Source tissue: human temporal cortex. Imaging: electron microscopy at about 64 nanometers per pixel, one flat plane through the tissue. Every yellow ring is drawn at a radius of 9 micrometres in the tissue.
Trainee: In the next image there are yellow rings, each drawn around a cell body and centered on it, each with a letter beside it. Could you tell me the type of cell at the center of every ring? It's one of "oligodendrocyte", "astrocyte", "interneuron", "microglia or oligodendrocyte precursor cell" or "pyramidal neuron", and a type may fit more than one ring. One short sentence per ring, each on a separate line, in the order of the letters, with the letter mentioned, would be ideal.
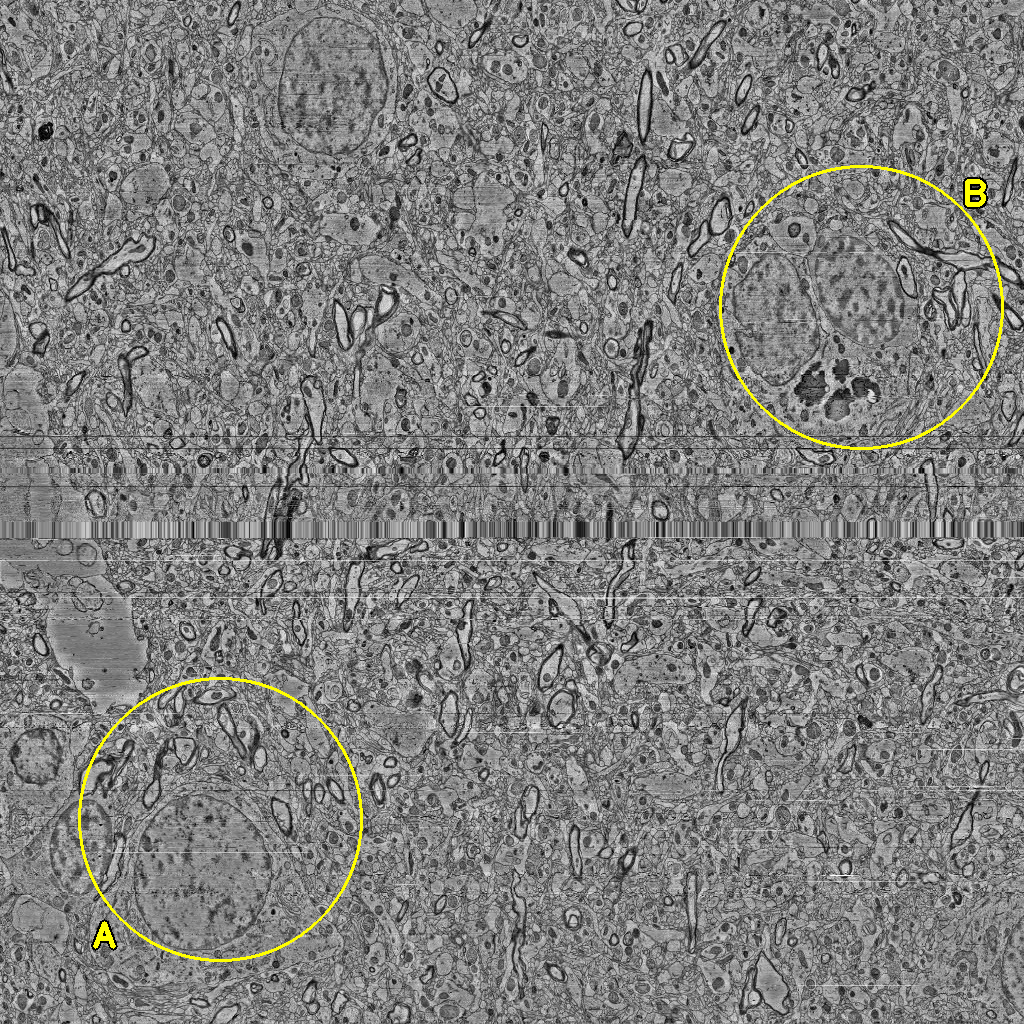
What ring A is centered on is a pyramidal neuron.
What ring B is centered on is an oligodendrocyte.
